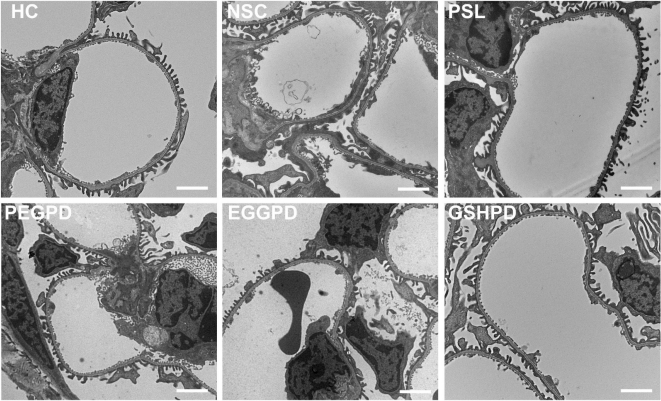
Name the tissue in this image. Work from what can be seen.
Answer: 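Round open capillary lumens are bounded by thin walls. A row of small regularly spaced projections lines the outer side of the capillary walls. Dark nuclei of cells lie between and against the capillary loops.
Hence: glomerulus.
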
